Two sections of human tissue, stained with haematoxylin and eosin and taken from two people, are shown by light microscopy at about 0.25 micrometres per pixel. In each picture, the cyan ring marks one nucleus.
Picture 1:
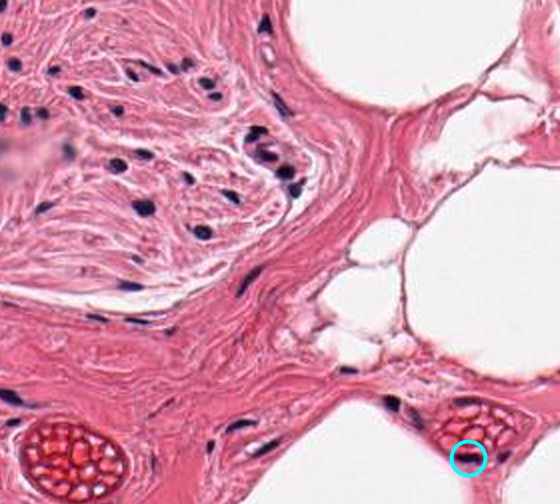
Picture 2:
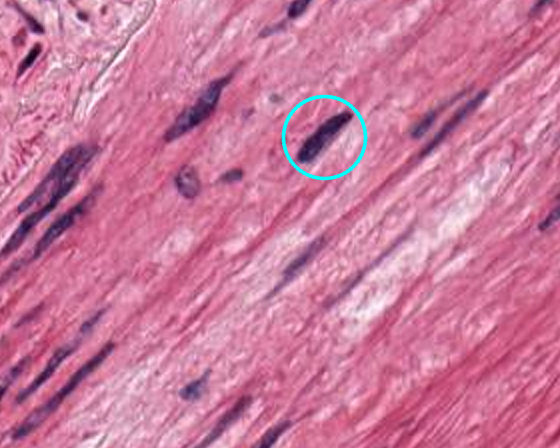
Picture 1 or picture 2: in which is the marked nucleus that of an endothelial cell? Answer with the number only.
1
